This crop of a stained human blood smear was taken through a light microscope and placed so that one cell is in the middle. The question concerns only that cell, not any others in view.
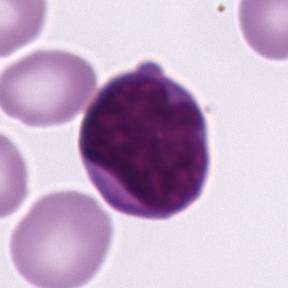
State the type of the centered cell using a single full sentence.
This crop's central cell is a myeloblast.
